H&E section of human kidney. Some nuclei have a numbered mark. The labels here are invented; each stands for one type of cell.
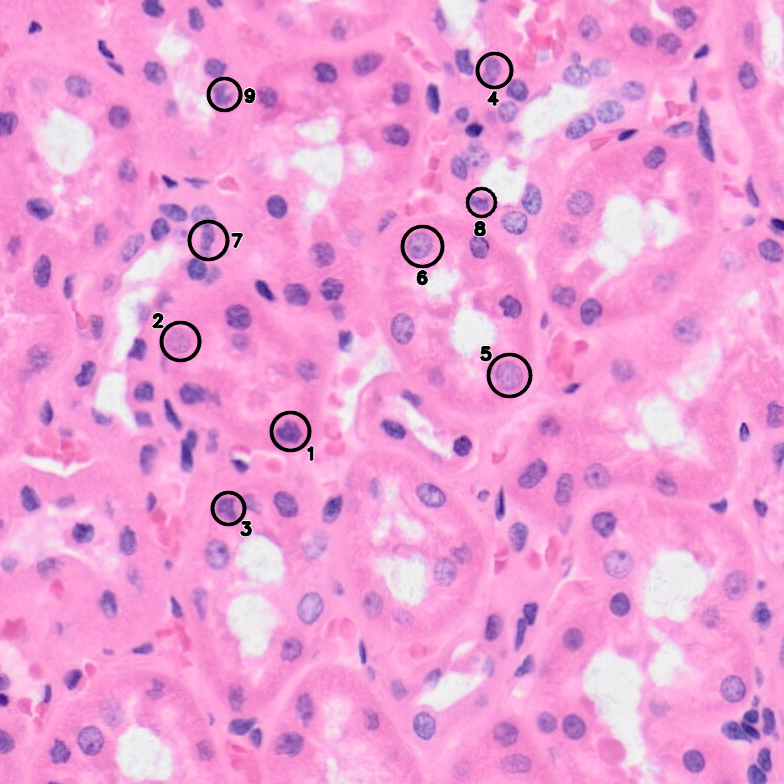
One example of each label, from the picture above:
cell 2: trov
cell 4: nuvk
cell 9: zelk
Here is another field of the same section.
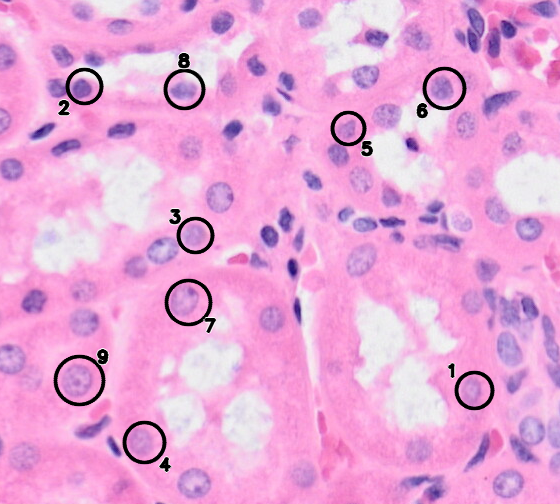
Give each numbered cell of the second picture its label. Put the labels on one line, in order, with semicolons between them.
trov; zelk; trov; trov; zelk; zelk; trov; zelk; trov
